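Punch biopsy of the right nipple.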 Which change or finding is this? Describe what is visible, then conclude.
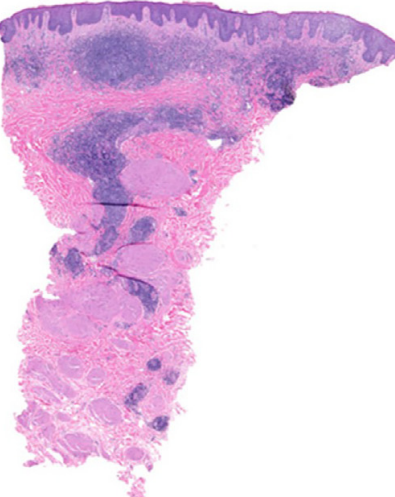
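Dark purple nodules of cells are scattered from the superficial to the deep dermis. Nodules lie among pink collagen and smooth muscle bundles. On this evidence: Dermal papillary and reticular nodular infiltrates.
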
